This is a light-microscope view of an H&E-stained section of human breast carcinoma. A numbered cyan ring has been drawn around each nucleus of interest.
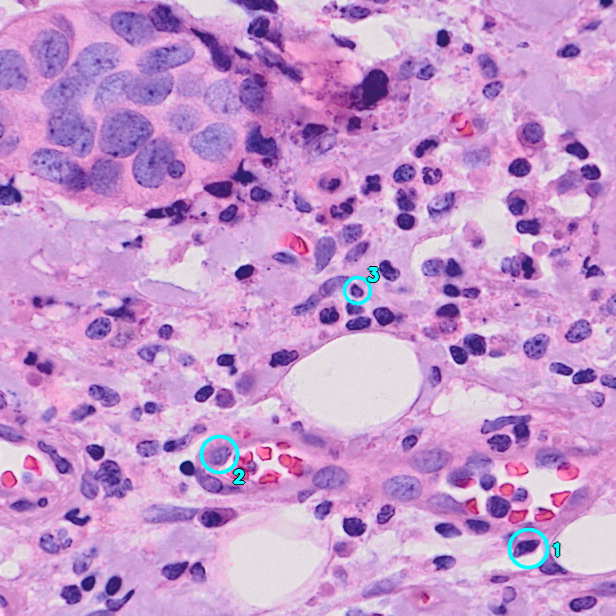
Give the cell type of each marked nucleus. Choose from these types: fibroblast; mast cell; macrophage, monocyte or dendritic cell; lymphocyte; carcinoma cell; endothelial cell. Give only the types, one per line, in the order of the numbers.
lymphocyte
endothelial cell
lymphocyte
